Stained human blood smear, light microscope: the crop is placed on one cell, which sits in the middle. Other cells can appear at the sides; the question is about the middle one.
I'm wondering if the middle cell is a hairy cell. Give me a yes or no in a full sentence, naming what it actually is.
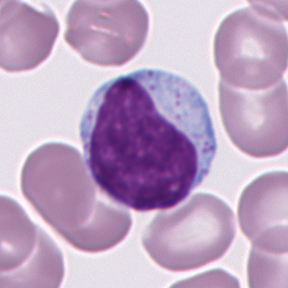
No, the centrally located cell is a large granular lymphocyte rather than a hairy cell.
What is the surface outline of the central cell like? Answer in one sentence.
Edge check done: smooth outline, no projections present.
